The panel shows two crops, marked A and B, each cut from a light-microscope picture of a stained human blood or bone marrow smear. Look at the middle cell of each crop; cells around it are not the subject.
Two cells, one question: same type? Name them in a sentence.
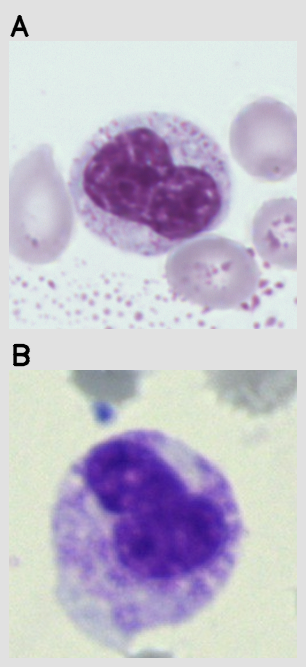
No, the cell shown in crop A is a metamyelocyte, and the cell shown in crop B is a band neutrophil.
